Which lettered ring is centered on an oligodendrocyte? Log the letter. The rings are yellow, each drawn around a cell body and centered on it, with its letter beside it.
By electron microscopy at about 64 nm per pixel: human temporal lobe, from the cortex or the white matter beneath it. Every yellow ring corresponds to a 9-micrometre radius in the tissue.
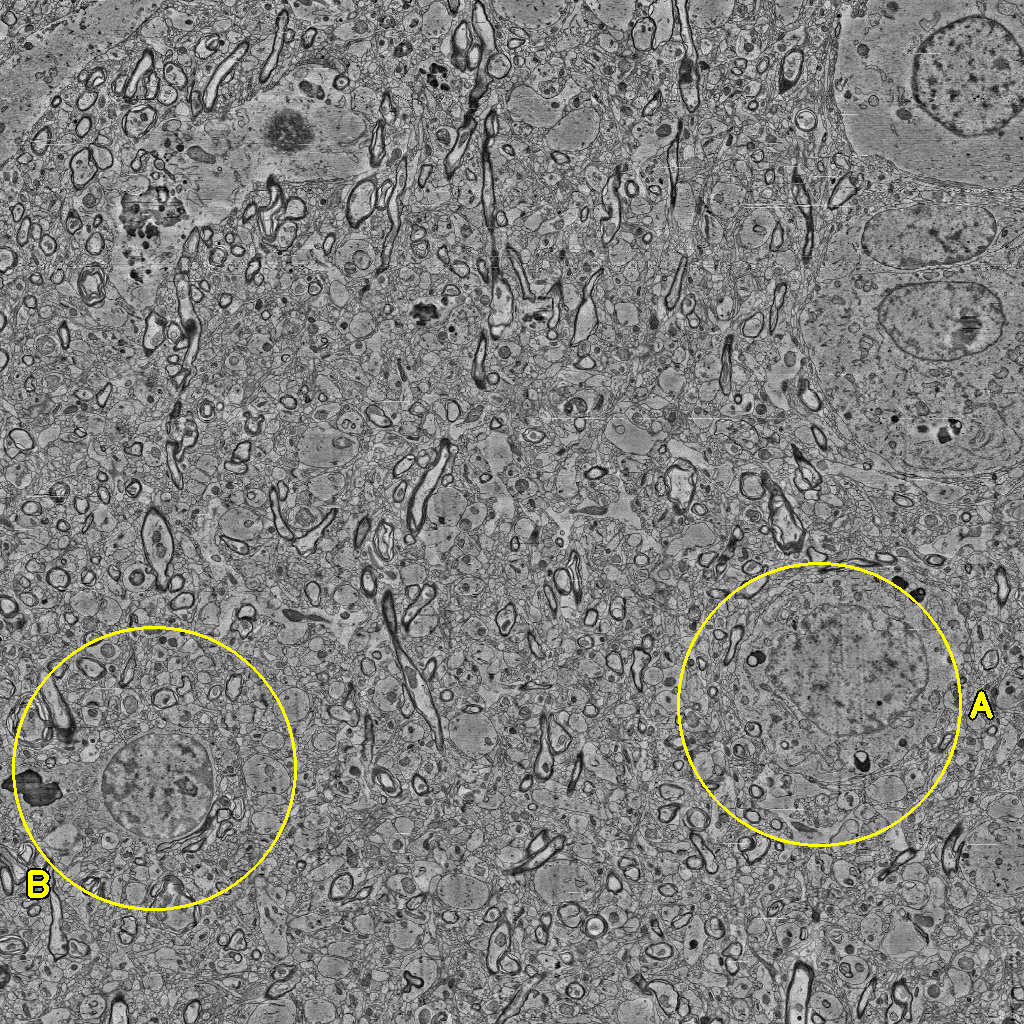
B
